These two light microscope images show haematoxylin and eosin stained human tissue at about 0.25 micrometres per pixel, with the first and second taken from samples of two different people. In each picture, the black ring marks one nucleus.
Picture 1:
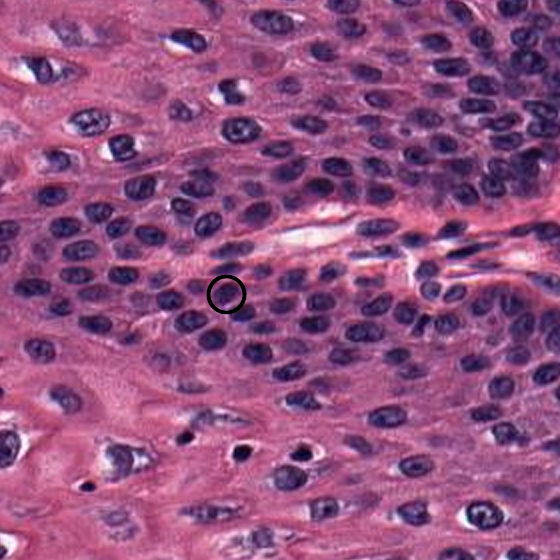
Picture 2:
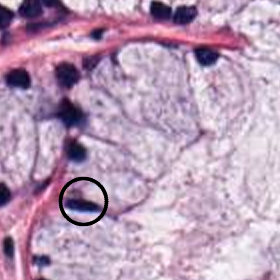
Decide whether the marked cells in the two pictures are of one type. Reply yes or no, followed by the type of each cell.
No, the first is a squamous epithelial cell and the second a mucous gland cell.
